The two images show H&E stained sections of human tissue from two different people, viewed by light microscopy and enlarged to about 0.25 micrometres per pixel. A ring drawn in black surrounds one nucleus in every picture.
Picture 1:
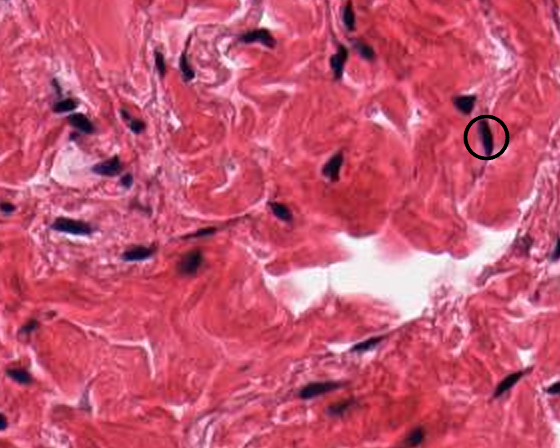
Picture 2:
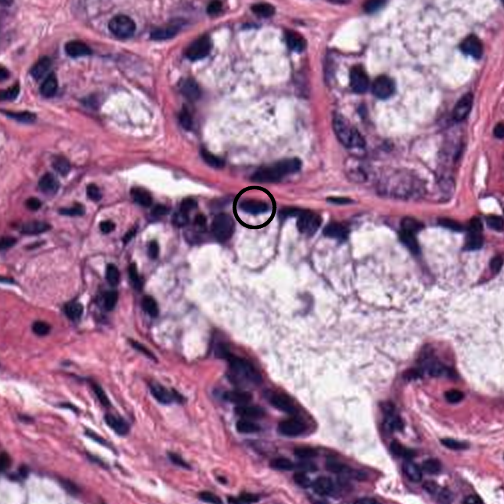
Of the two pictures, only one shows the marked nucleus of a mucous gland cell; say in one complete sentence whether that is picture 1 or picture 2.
Although both pictures carry a marked nucleus, only in picture 2 does it belong to a mucous gland cell.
